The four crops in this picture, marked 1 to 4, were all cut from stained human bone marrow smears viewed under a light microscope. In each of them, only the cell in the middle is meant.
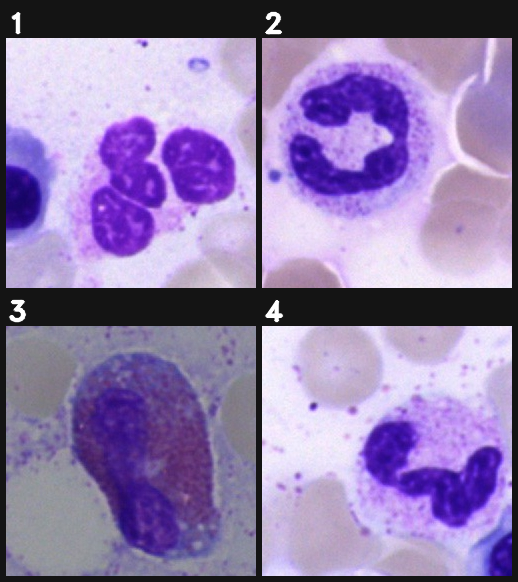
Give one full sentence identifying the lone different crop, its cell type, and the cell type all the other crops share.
Crop 3 breaks the pattern as an eosinophil; the other crops all contain neutrophils.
